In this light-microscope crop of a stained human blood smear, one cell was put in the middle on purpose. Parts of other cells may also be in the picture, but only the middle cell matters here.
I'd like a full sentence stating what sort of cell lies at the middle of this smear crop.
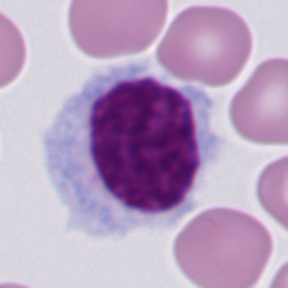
Classification of the middle cell gives a hairy cell.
